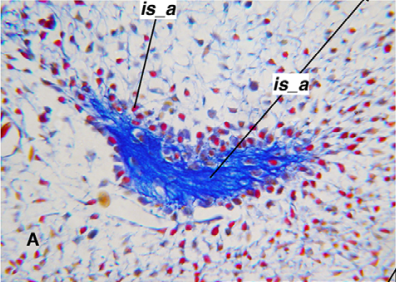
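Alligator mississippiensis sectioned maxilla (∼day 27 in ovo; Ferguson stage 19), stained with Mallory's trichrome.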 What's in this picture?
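Cells with small red-staining nuclei crowd closely along and within the blue matrix band. Away from the band, spindle-shaped and stellate cells with red nuclei lie scattered in a pale, loosely organized background.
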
